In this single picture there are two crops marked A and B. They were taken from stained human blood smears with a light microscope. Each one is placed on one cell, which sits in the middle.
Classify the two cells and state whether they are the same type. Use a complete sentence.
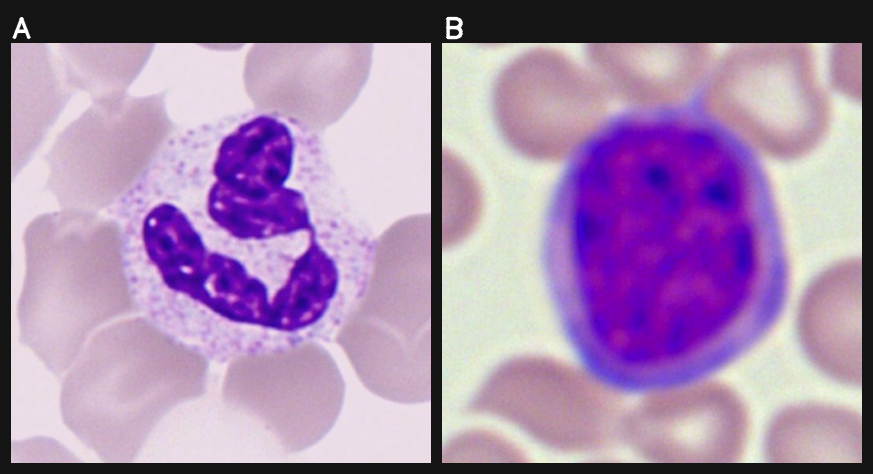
No, a neutrophil is what crop A shows, and a monocyte is what crop B shows.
